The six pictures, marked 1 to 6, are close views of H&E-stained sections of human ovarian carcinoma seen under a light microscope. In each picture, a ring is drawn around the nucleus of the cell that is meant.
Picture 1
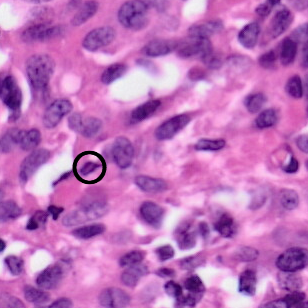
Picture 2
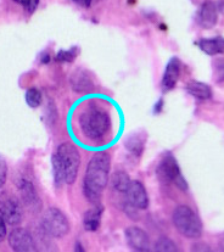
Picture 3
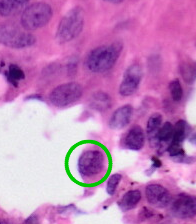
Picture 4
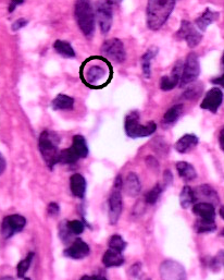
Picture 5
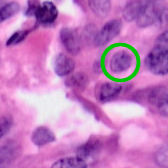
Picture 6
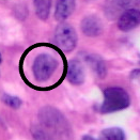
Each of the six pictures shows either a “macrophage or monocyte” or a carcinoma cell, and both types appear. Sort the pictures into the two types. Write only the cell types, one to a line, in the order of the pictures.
carcinoma cell
carcinoma cell
carcinoma cell
macrophage or monocyte
macrophage or monocyte
macrophage or monocyte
